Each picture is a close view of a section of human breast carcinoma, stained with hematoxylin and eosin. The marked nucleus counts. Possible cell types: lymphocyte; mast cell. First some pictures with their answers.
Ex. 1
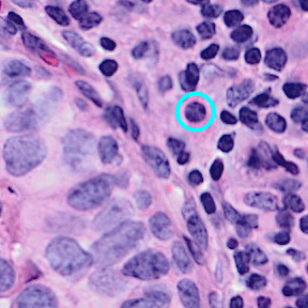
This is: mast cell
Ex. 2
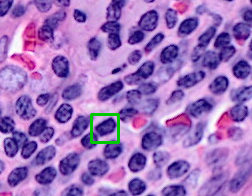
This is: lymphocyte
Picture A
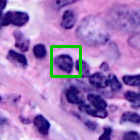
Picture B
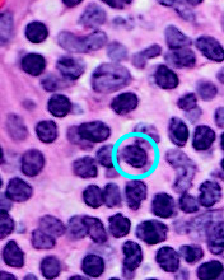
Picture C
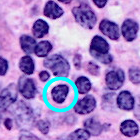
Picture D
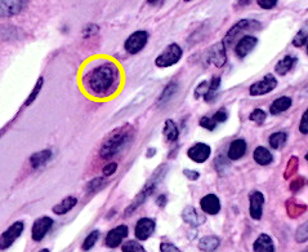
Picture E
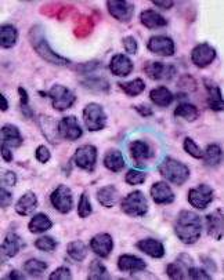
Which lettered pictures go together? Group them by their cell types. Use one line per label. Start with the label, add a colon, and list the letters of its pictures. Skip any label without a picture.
lymphocyte: A, B, C, E
mast cell: D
